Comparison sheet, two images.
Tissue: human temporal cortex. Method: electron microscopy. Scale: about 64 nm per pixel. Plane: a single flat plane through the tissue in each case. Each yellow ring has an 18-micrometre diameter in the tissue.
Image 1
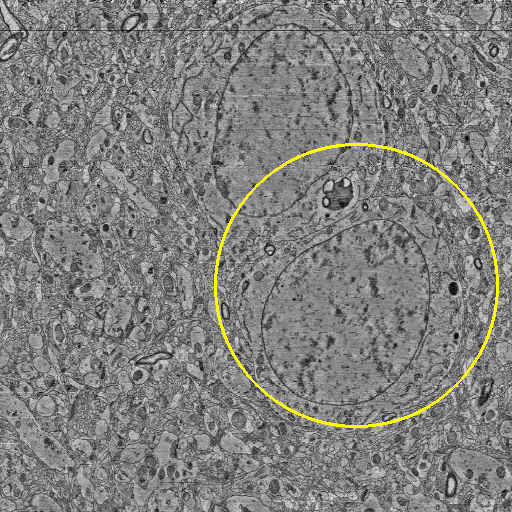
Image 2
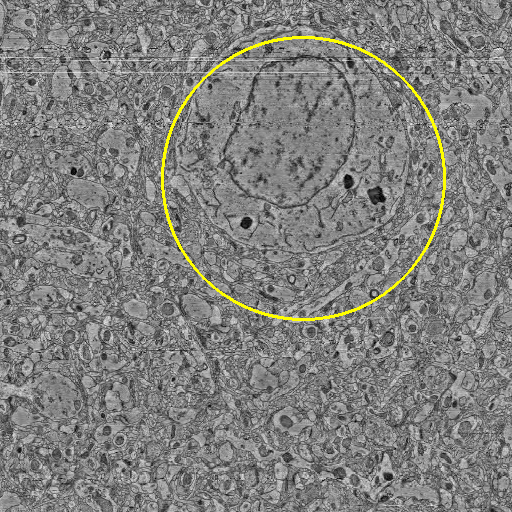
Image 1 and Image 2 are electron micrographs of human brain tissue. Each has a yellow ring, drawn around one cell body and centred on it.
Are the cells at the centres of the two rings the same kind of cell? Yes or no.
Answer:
yes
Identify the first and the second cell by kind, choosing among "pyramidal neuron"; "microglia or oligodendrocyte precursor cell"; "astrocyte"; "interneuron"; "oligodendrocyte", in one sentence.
The first and the second cell are each a pyramidal neuron.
